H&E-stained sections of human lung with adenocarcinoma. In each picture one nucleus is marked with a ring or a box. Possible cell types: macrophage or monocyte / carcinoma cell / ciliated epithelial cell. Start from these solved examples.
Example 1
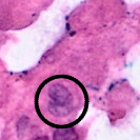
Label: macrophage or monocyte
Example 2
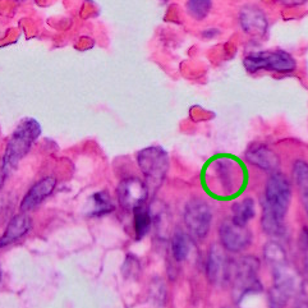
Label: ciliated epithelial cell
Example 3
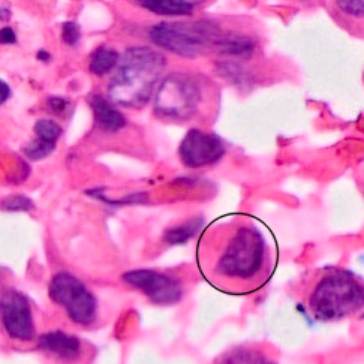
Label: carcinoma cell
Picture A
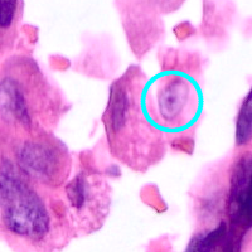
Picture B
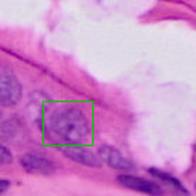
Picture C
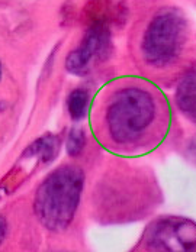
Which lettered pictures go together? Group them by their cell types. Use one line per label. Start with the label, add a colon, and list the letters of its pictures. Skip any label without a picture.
macrophage or monocyte: A
carcinoma cell: C
ciliated epithelial cell: B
